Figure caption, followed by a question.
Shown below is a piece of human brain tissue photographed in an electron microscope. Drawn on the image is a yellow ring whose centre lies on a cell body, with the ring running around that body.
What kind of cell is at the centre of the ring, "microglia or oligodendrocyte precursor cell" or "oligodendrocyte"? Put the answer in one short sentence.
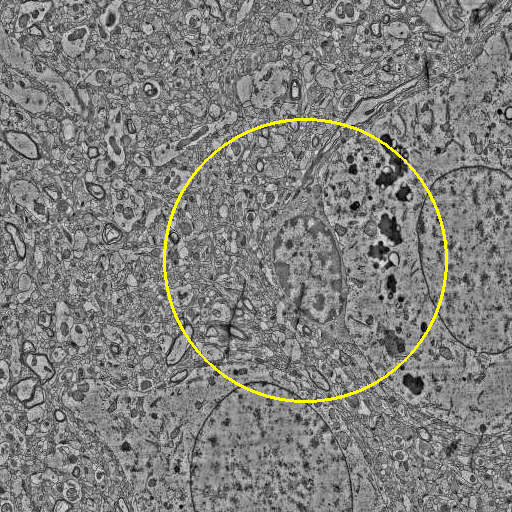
The ring marks the cell body of an oligodendrocyte.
